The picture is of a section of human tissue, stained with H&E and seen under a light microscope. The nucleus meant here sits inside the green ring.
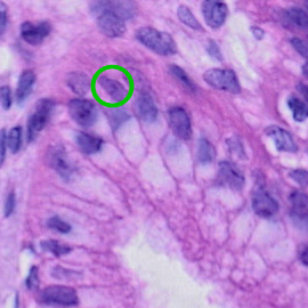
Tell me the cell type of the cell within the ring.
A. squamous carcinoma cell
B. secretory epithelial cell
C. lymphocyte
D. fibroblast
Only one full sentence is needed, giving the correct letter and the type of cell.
Option B is correct in that the cell within the ring is a secretory epithelial cell.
